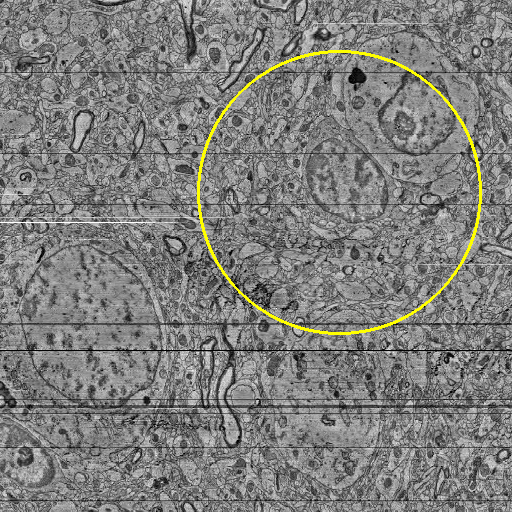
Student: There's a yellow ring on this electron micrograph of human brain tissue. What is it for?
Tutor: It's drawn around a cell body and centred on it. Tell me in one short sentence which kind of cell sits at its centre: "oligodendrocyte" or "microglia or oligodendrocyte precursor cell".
The cell at the centre of the ring is an oligodendrocyte.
